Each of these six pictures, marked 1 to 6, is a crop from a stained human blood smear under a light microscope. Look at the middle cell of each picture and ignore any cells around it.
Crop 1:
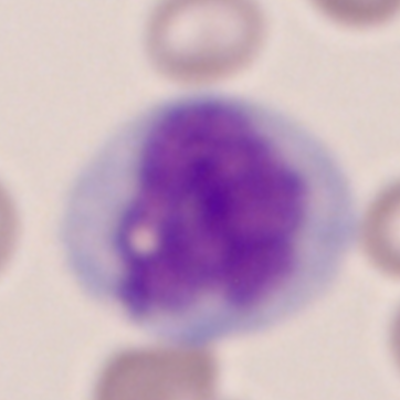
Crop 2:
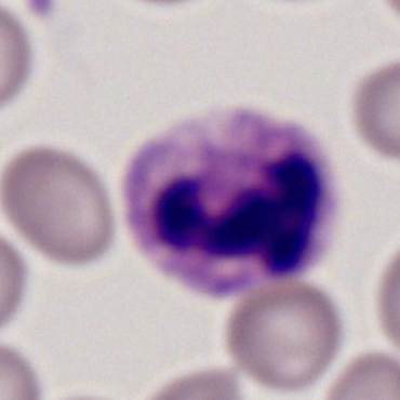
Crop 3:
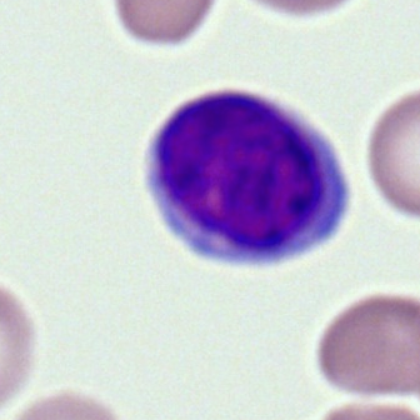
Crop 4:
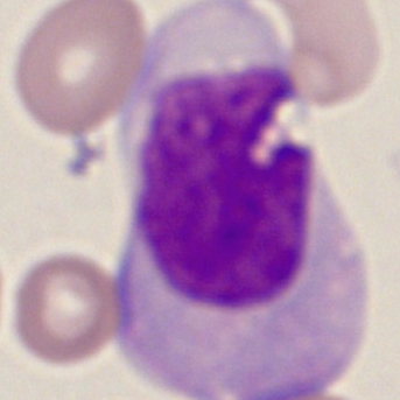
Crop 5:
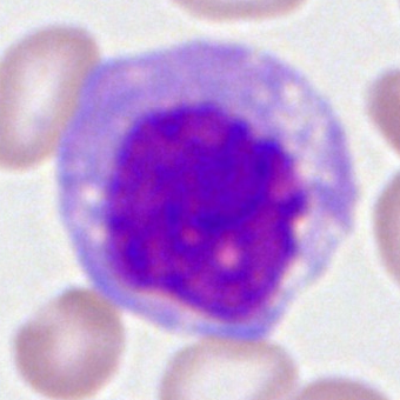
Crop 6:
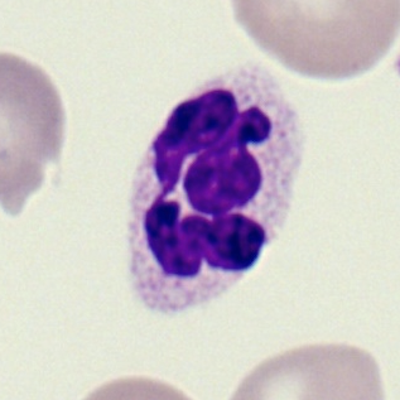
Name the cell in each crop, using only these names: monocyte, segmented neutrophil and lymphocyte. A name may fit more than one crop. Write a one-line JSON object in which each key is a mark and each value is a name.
{"1": "monocyte", "2": "segmented neutrophil", "3": "lymphocyte", "4": "monocyte", "5": "monocyte", "6": "segmented neutrophil"}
